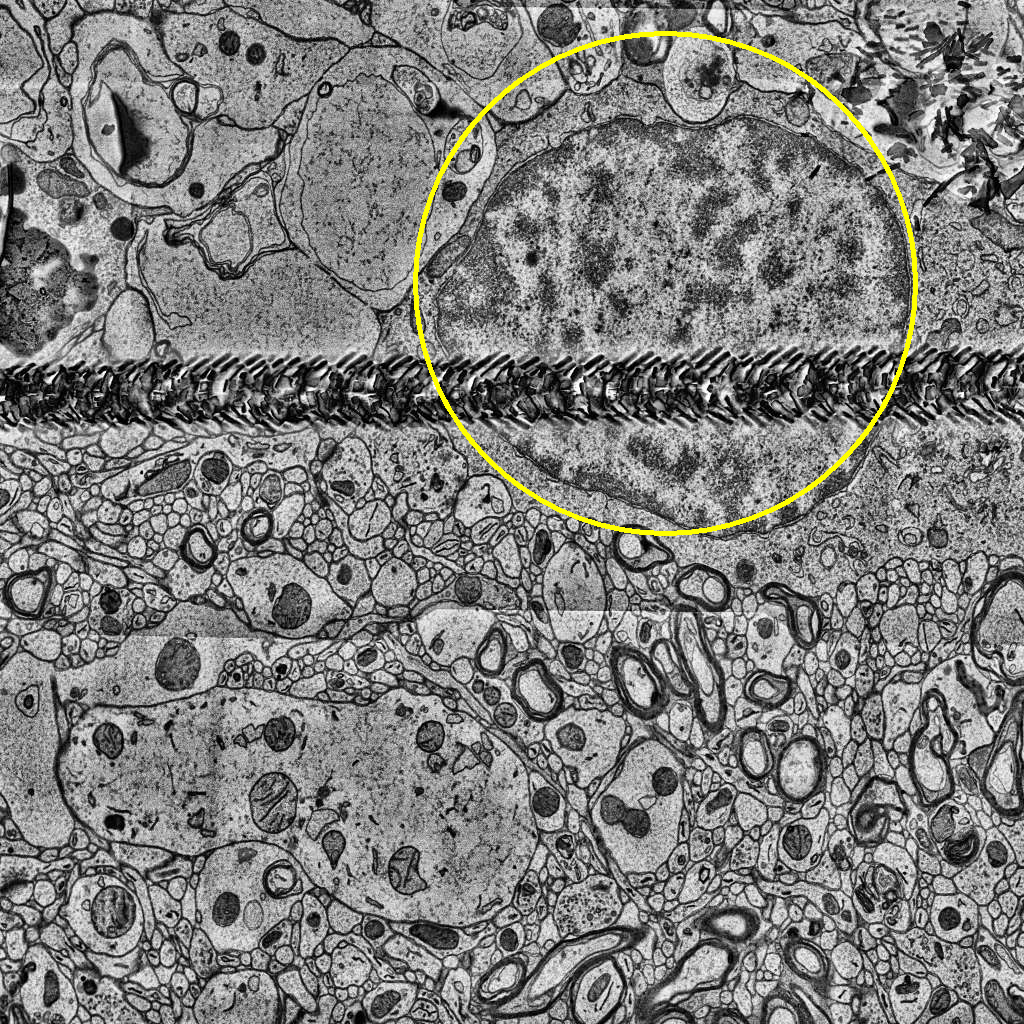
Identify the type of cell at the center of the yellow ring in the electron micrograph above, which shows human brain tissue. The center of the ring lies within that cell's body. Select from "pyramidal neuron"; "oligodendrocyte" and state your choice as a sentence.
The center of the yellow ring lies in the body of an oligodendrocyte.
